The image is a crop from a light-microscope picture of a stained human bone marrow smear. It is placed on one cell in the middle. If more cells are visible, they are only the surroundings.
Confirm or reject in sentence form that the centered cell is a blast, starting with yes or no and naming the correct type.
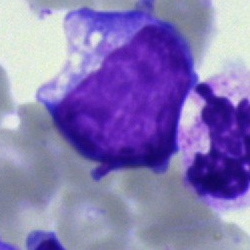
Yes, the middle cell in this crop is a blast.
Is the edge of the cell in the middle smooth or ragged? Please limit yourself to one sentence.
The cell margin is rough and uneven, either ragged or drawn into projections.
